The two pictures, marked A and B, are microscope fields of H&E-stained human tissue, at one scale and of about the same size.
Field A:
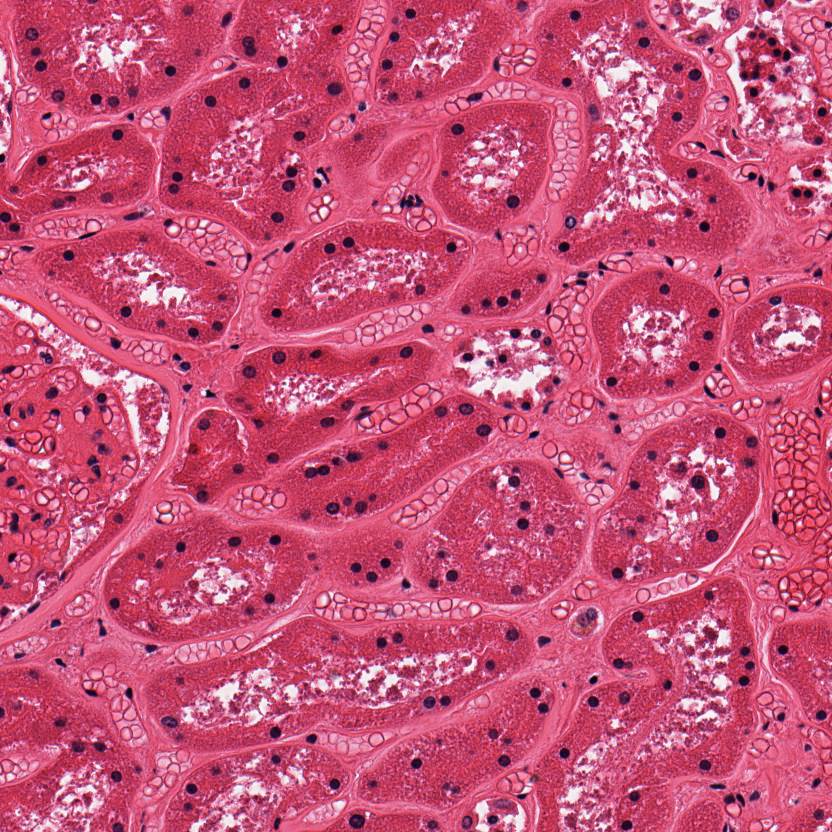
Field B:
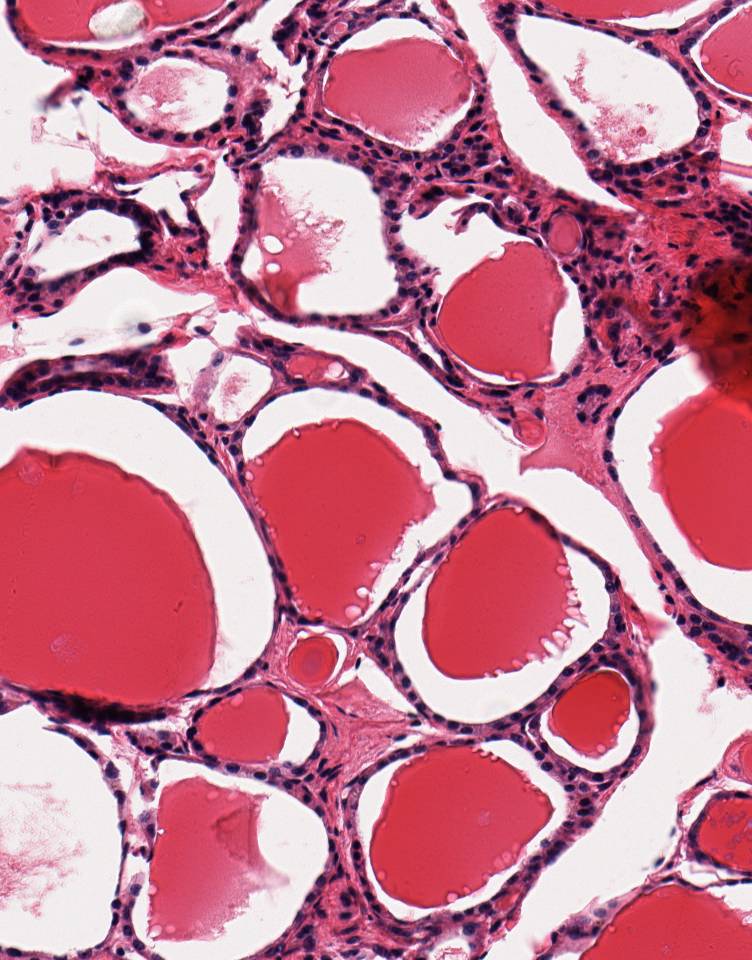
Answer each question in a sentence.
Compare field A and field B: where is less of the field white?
Less of field A is empty and white.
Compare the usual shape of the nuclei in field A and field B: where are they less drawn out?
It is field A whose nuclei are the rounder.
